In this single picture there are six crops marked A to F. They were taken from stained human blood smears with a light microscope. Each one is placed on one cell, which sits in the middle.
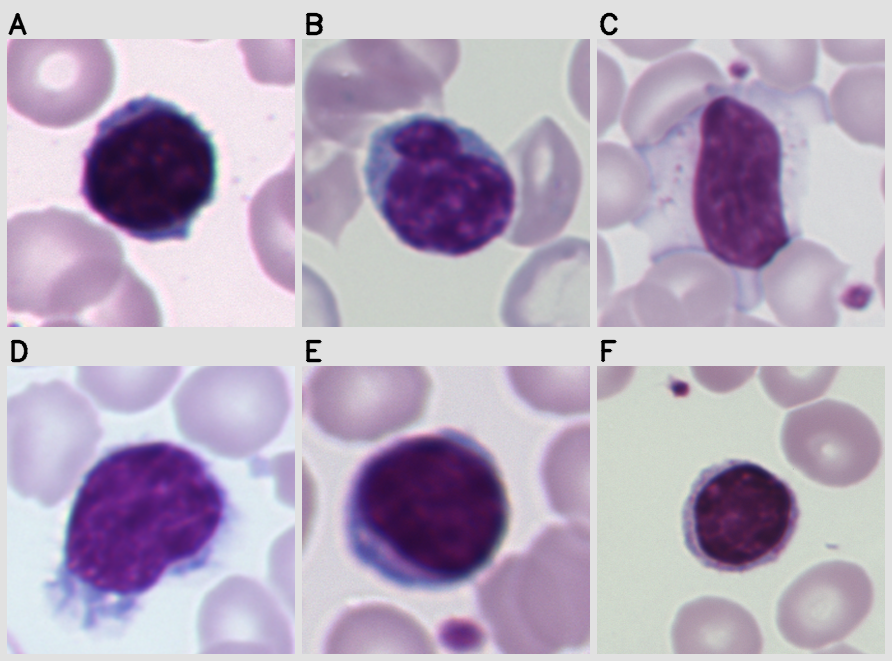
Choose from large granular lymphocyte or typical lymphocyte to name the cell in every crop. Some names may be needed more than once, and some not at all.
A: typical lymphocyte
B: typical lymphocyte
C: large granular lymphocyte
D: typical lymphocyte
E: typical lymphocyte
F: large granular lymphocyte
